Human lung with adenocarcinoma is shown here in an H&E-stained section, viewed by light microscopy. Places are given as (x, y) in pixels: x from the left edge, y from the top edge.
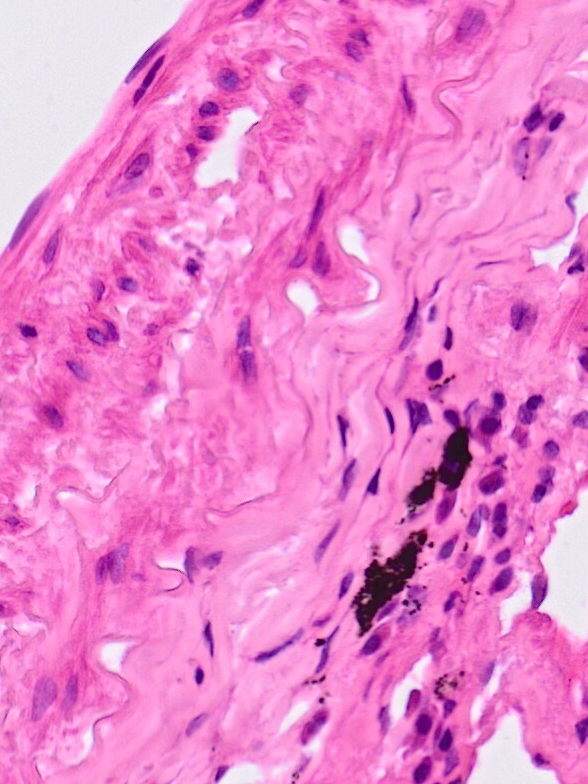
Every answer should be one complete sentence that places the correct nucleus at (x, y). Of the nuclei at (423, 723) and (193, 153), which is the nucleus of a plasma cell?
Of the two options, the nucleus at (423, 723) is the one that belongs to a plasma cell.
